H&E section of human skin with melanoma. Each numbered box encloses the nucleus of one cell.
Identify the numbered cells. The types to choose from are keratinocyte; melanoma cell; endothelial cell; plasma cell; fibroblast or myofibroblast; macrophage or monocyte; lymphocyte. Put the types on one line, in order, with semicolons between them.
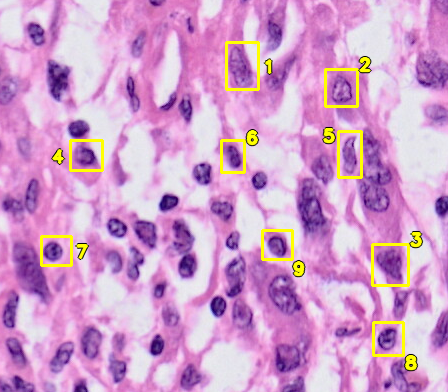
melanoma cell; melanoma cell; melanoma cell; macrophage or monocyte; melanoma cell; macrophage or monocyte; lymphocyte; lymphocyte; macrophage or monocyte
